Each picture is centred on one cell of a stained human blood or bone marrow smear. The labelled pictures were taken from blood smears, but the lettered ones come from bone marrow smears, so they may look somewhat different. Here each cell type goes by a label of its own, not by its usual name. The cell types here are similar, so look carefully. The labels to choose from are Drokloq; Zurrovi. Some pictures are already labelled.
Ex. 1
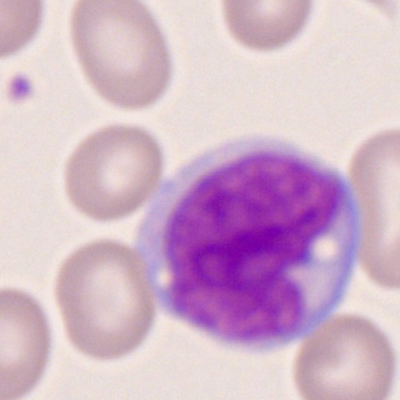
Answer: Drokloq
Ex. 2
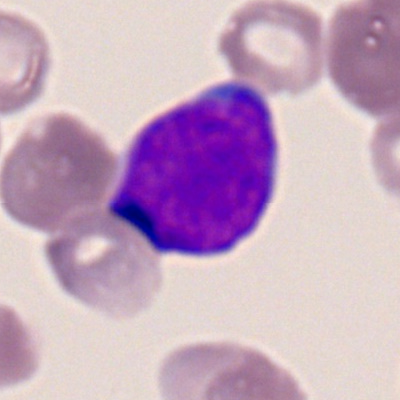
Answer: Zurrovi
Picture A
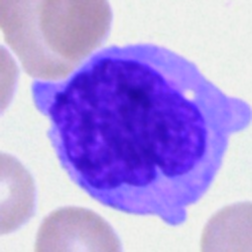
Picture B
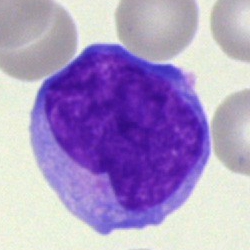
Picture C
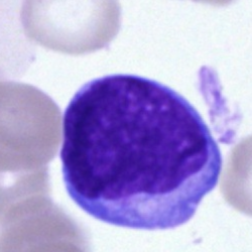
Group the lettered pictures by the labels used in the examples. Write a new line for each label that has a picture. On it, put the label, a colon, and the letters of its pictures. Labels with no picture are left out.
Drokloq: A
Zurrovi: B, C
